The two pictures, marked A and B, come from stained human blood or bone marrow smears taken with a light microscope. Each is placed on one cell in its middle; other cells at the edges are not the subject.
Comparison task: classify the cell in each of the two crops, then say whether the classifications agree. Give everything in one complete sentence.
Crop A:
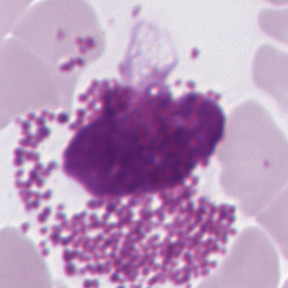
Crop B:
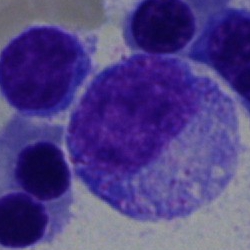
No, an eosinophil is in crop A, and a promyelocyte is in crop B.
